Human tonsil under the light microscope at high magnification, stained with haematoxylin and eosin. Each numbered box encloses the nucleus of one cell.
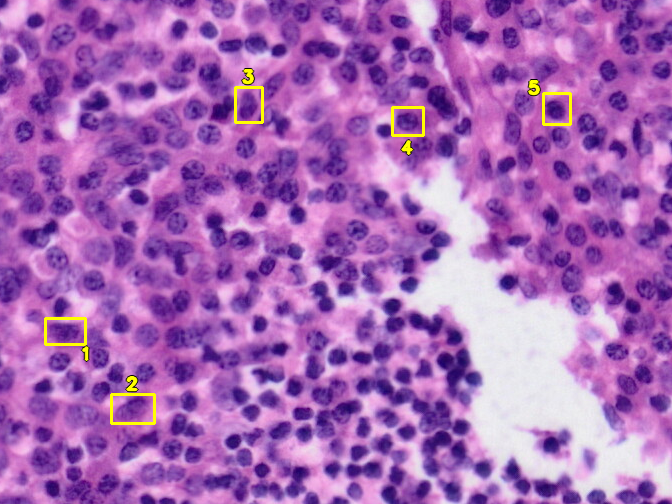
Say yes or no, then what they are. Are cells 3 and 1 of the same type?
Yes, both are squamous epithelial cells.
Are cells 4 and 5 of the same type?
Yes, both are plasma cells.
